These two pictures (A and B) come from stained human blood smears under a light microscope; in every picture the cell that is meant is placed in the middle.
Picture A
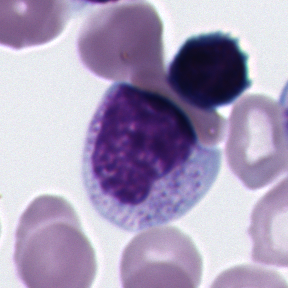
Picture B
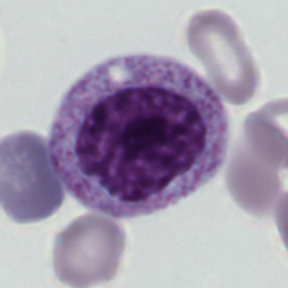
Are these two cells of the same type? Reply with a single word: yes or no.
yes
